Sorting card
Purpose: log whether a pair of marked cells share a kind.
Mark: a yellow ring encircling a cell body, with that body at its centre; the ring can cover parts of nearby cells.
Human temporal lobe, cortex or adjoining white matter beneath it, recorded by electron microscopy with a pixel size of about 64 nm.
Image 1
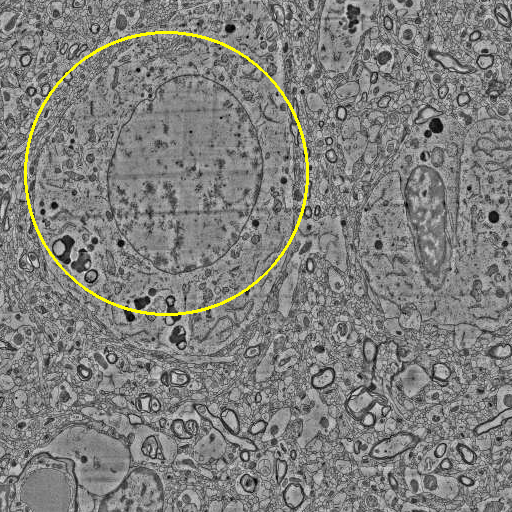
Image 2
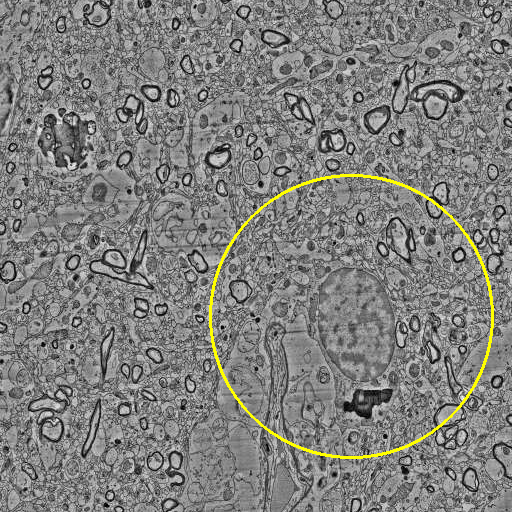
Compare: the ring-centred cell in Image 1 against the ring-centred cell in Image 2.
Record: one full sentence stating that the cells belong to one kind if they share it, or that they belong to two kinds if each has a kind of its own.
Across Images 1 and 2, the two ring-centred cells belong to two kinds.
